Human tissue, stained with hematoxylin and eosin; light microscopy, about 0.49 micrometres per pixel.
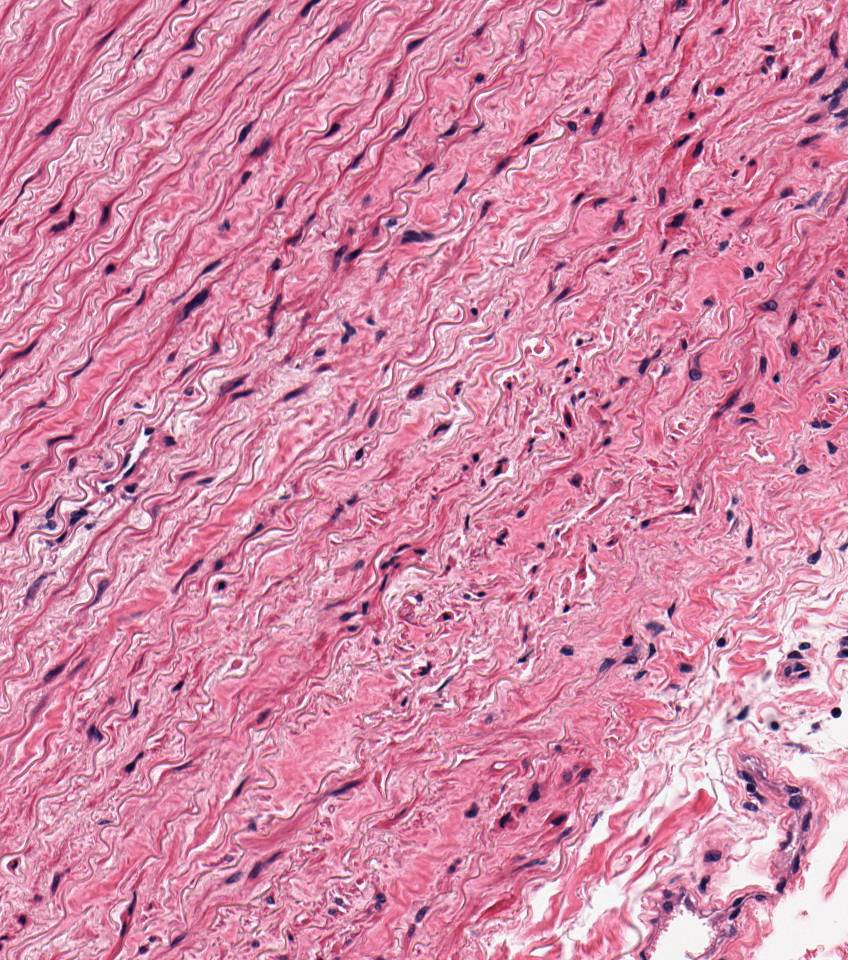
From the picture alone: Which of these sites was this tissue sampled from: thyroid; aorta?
aorta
